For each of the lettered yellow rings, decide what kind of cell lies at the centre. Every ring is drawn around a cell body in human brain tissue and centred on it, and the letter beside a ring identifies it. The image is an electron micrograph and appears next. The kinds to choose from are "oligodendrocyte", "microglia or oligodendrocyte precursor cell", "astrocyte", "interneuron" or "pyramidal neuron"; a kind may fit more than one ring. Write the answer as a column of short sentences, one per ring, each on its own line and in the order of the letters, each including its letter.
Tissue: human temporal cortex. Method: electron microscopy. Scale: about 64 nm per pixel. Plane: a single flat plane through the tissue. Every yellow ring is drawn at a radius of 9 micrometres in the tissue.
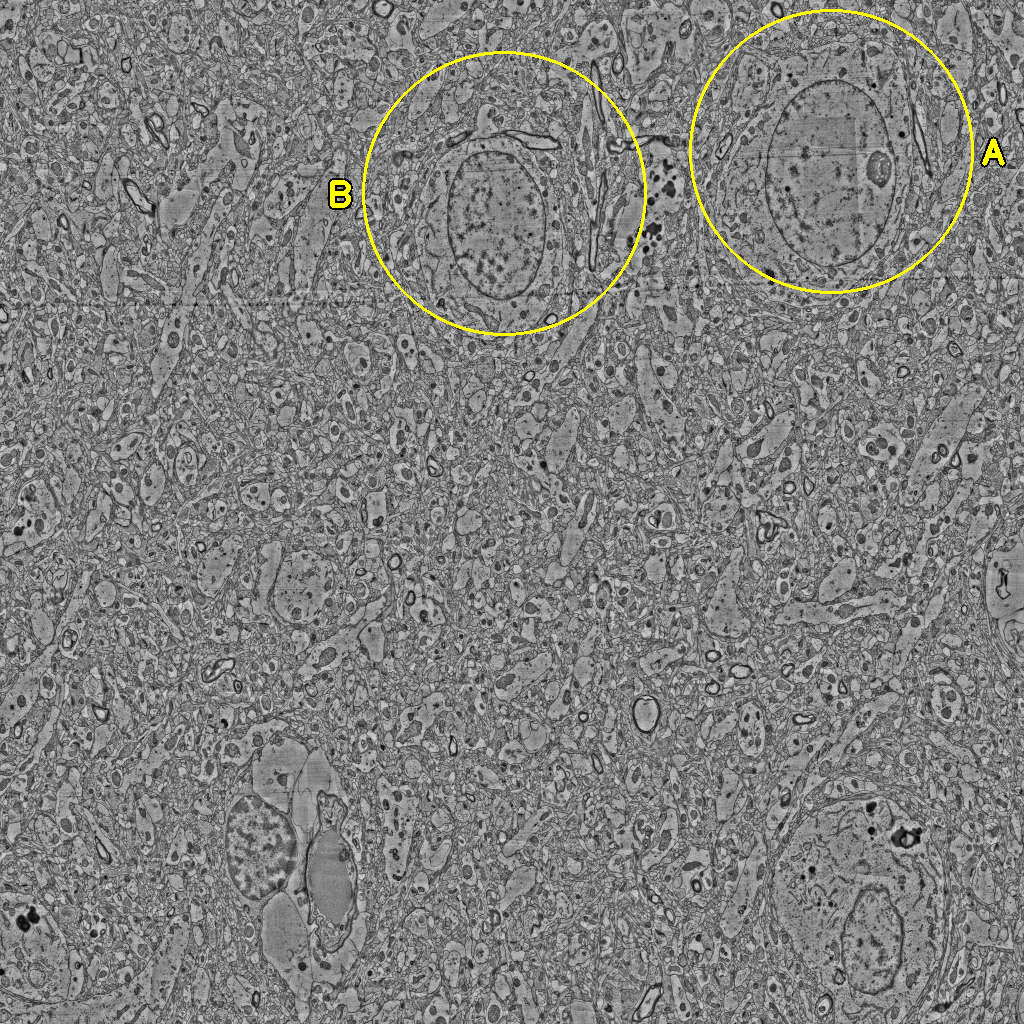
In the centre of ring A lies a pyramidal neuron.
In the centre of ring B lies a pyramidal neuron.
